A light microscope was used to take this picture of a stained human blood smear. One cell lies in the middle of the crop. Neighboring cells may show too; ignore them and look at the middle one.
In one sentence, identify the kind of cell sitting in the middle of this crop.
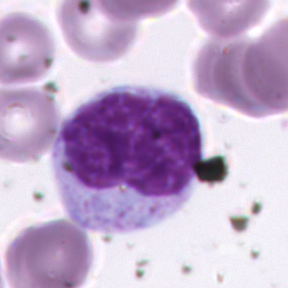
This crop's central cell is a metamyelocyte.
